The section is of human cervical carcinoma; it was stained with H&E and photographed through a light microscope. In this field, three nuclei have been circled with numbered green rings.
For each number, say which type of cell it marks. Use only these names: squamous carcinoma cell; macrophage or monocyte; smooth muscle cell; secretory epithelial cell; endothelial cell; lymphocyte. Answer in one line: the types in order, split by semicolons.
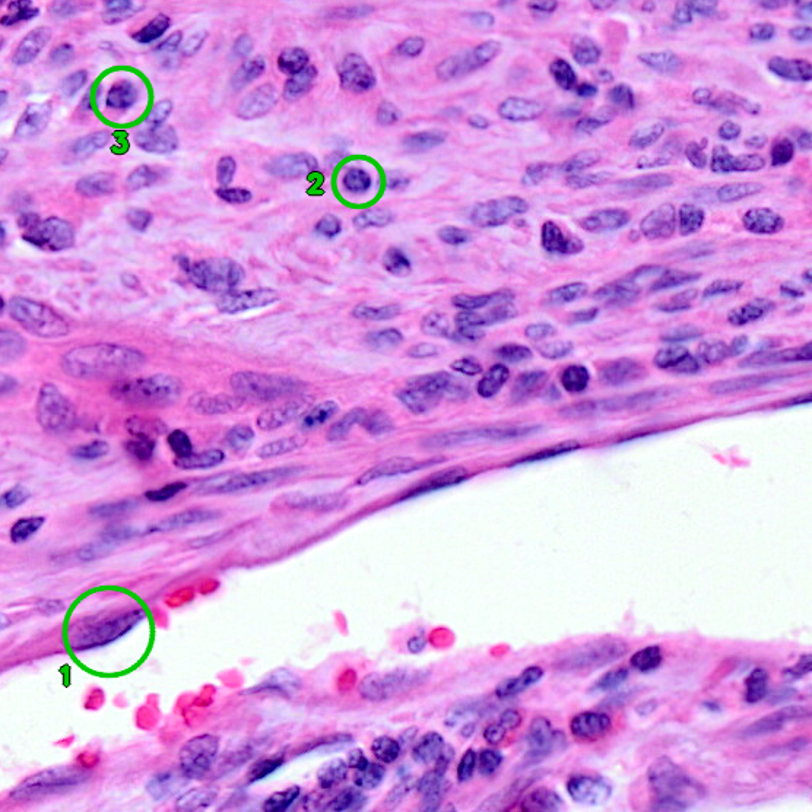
endothelial cell; lymphocyte; lymphocyte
